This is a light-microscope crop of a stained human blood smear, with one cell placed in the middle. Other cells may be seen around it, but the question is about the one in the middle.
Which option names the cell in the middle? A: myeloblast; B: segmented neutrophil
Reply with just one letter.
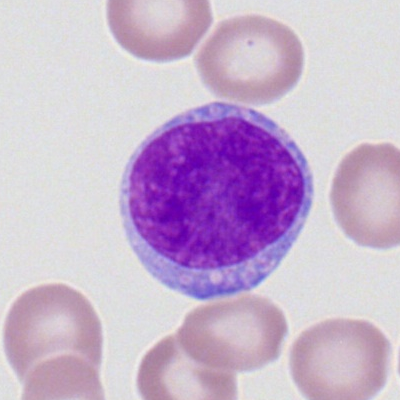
A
